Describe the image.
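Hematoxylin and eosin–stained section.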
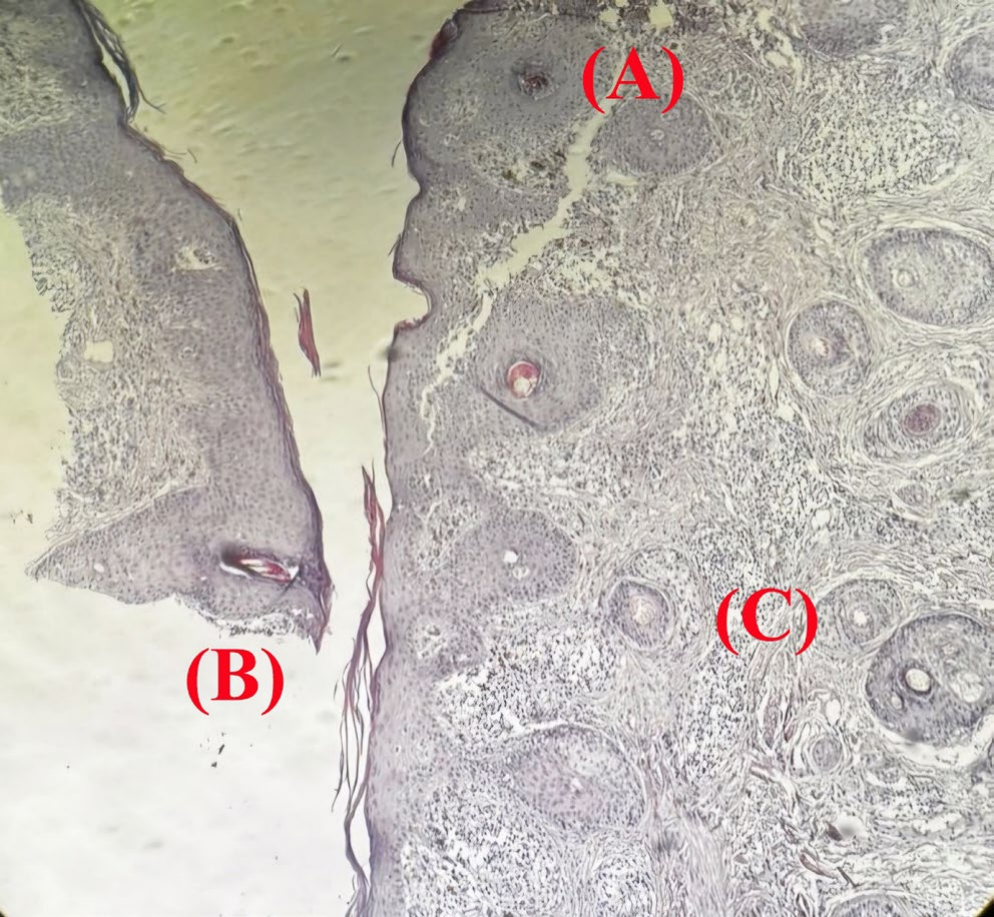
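This is a section of skin showing epidermis and dermis with many hair follicles, and a dense dermal infiltrate of lymphocytes. The surface epidermis is a stratified squamous epithelium of pink-purple cells, and a separated fragment of epidermis lies to the left. Numerous hair follicles are cut in cross-section, appearing as round nests of epithelial cells around a central lumen. Several of these follicles contain pink-red keratinous material in their centres, as do follicle openings near the surface.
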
